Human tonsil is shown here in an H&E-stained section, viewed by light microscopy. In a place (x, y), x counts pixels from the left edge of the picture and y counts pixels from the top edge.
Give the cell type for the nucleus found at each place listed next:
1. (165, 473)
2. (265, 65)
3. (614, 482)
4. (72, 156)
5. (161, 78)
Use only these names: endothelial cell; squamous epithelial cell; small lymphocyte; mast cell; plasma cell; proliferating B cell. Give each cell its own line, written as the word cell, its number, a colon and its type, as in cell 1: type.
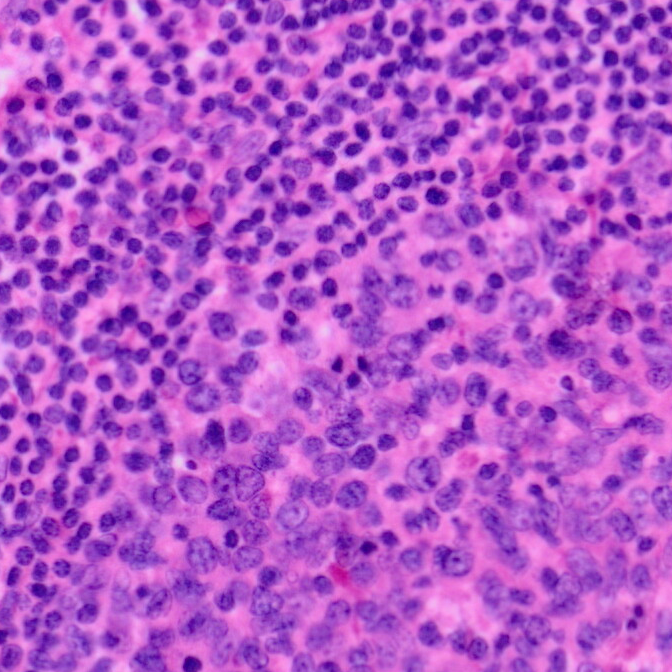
cell 1: proliferating B cell
cell 2: small lymphocyte
cell 3: proliferating B cell
cell 4: small lymphocyte
cell 5: small lymphocyte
